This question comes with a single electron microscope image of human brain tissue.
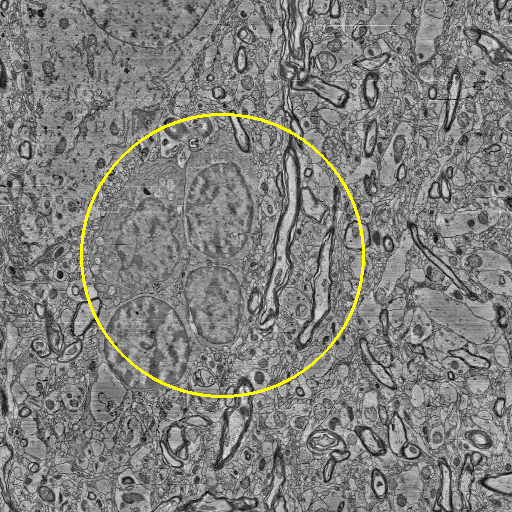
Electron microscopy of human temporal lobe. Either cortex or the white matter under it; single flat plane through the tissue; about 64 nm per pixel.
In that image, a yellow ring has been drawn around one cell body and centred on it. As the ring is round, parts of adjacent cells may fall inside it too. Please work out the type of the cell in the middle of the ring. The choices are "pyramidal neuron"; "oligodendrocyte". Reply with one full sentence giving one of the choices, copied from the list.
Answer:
Of the choices, an oligodendrocyte is the cell sitting in the middle of the ring.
